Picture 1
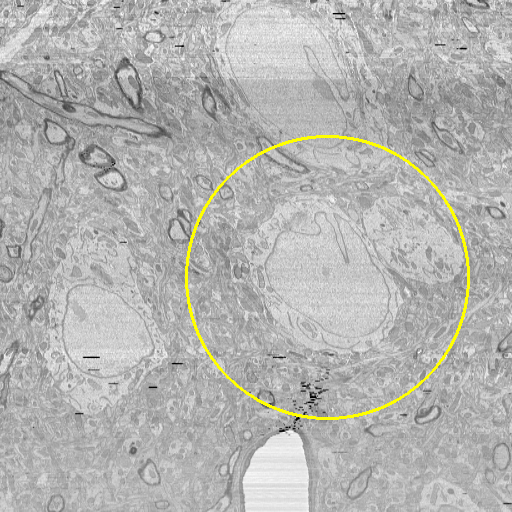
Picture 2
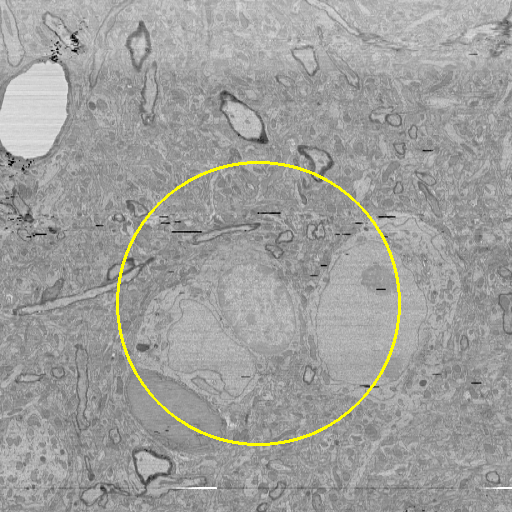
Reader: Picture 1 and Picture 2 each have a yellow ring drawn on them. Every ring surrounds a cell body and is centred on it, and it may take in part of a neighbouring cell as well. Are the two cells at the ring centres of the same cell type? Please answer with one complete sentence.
No, the cells are of two cell types.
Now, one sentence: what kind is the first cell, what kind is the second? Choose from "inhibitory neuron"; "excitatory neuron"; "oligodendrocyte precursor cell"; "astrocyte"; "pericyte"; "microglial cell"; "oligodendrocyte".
The first picture has an excitatory neuron at its ring centre, and the second has an oligodendrocyte.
